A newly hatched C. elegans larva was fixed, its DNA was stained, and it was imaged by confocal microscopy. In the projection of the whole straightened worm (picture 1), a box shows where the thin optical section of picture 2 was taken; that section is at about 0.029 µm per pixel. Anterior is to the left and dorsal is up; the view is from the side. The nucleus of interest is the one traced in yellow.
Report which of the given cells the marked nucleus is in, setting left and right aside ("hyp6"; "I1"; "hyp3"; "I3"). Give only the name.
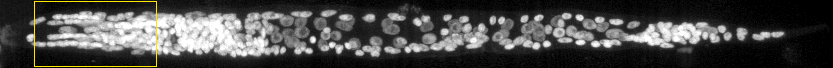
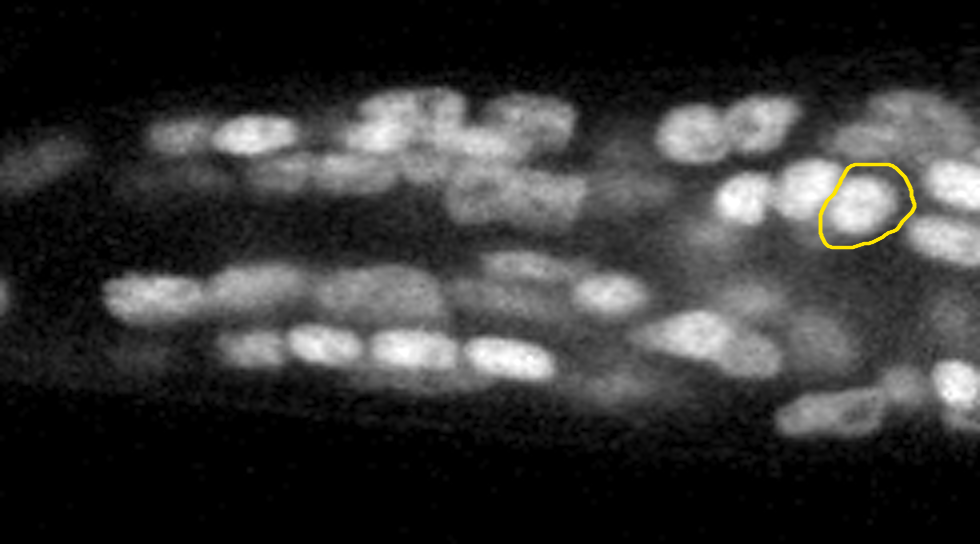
I3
